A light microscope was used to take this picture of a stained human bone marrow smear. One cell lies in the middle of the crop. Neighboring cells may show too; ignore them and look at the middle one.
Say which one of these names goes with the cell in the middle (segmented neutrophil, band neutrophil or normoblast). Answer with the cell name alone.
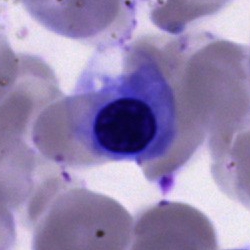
normoblast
